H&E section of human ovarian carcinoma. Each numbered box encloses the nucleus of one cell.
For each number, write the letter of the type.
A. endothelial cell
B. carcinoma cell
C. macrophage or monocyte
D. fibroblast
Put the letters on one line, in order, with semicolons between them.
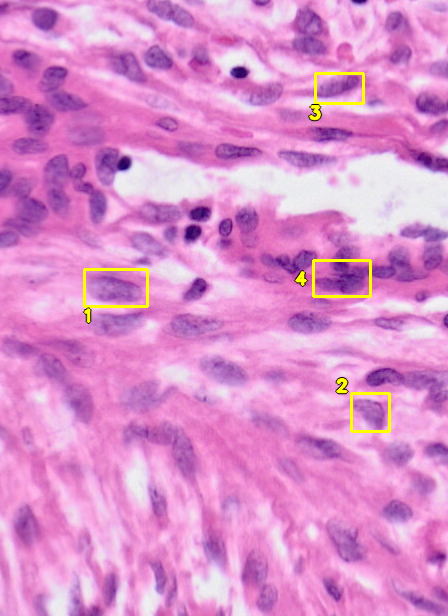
D; D; D; A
